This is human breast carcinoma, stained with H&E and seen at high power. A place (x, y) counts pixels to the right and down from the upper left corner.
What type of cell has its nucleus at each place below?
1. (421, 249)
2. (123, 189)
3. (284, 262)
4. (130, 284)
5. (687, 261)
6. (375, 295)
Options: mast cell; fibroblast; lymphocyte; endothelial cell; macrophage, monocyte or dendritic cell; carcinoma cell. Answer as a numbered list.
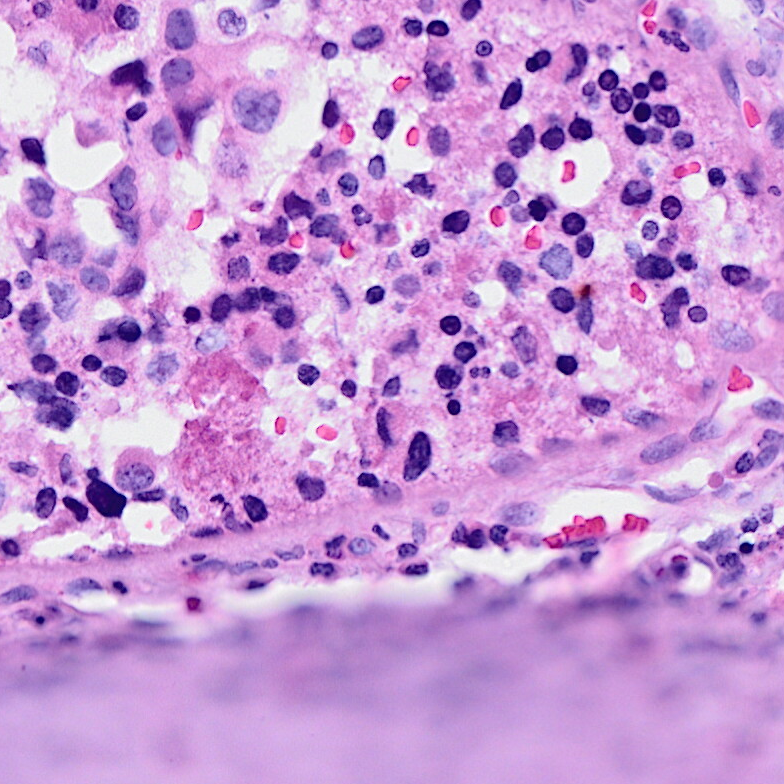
1. lymphocyte
2. carcinoma cell
3. carcinoma cell
4. carcinoma cell
5. lymphocyte
6. lymphocyte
